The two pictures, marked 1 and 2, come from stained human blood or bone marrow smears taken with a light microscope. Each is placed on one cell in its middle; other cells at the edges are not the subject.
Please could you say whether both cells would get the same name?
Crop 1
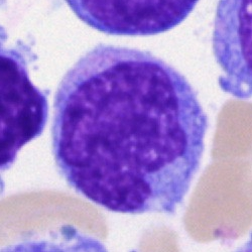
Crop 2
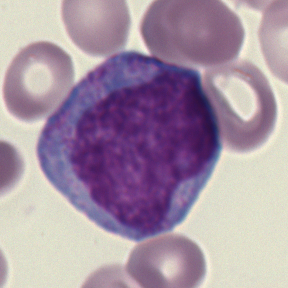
no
